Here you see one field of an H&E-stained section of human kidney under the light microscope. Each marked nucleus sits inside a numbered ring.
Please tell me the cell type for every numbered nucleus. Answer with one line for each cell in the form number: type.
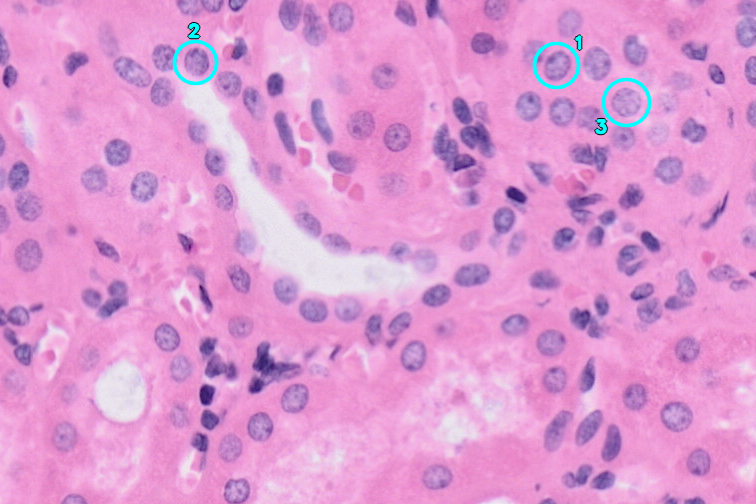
1: loop of Henle or distal tubule cell
2: collecting duct cell
3: loop of Henle or distal tubule cell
